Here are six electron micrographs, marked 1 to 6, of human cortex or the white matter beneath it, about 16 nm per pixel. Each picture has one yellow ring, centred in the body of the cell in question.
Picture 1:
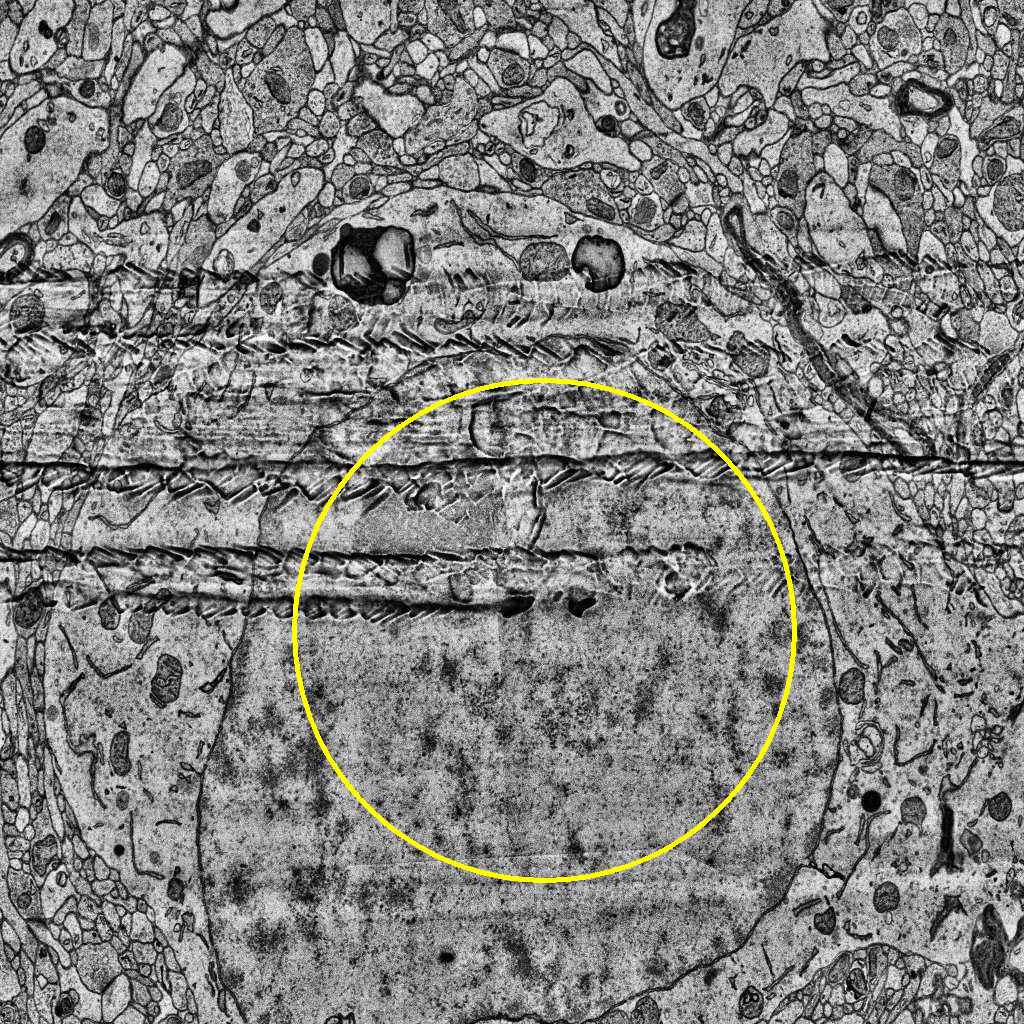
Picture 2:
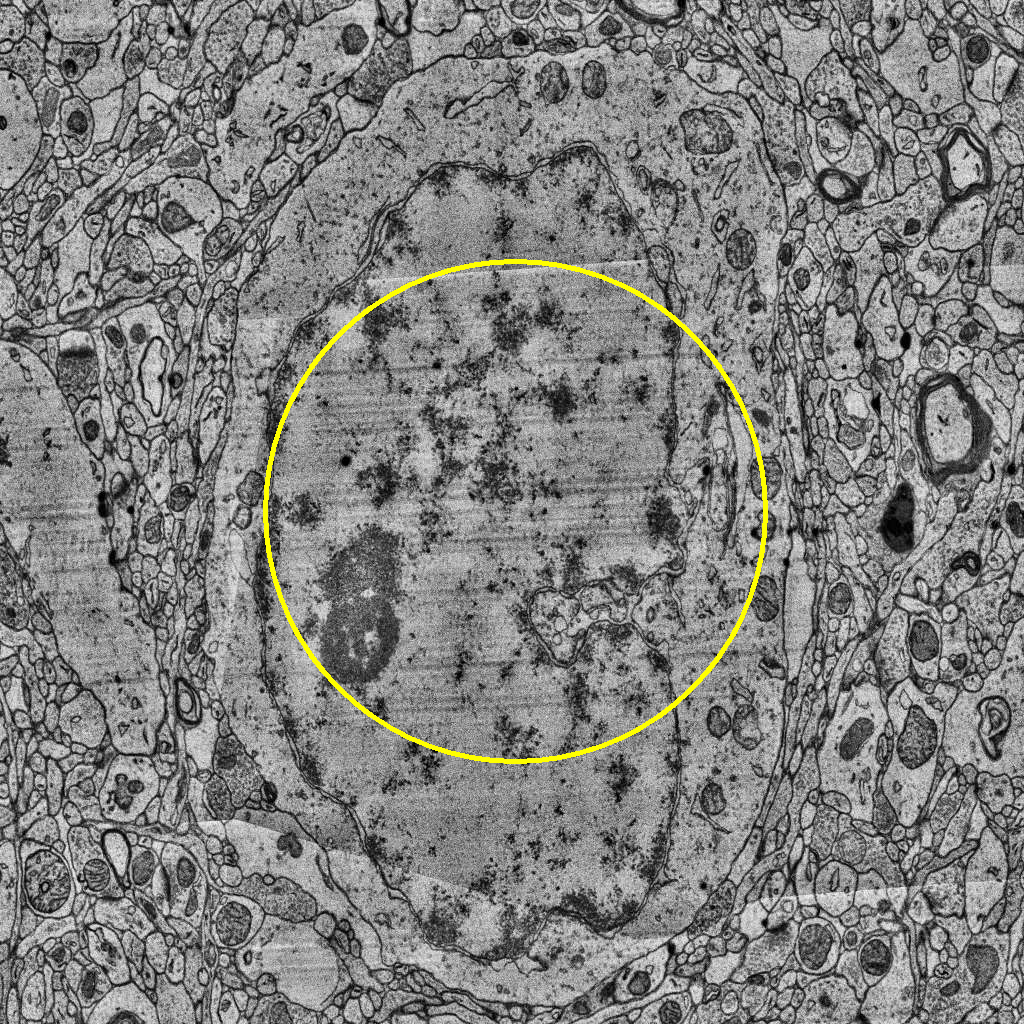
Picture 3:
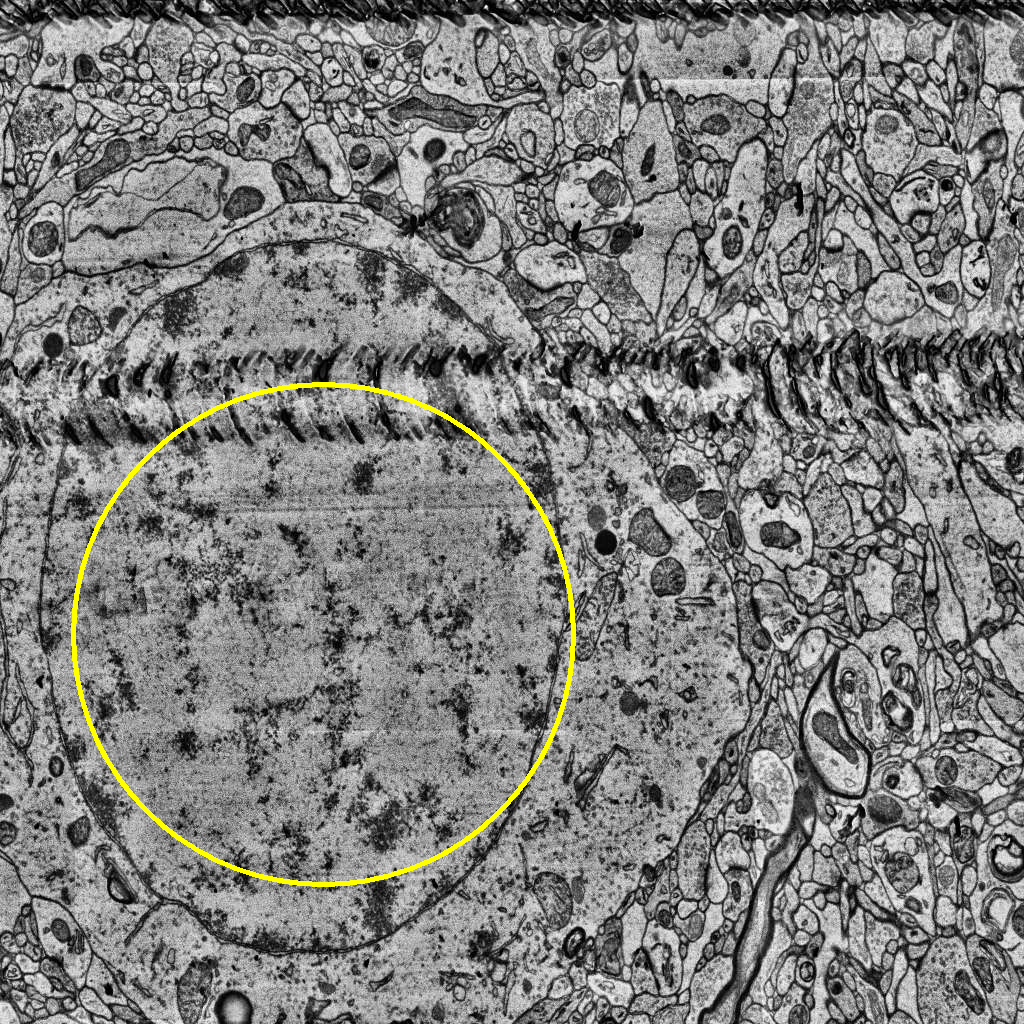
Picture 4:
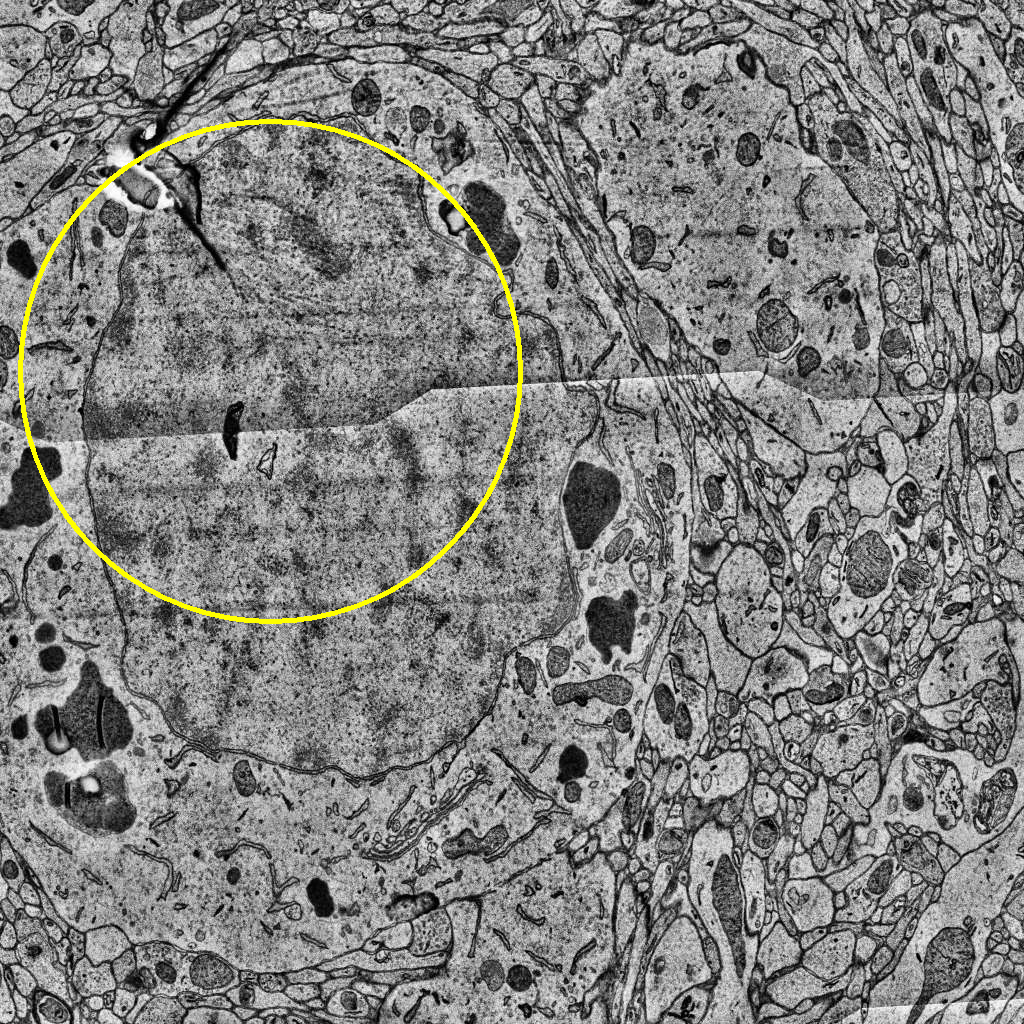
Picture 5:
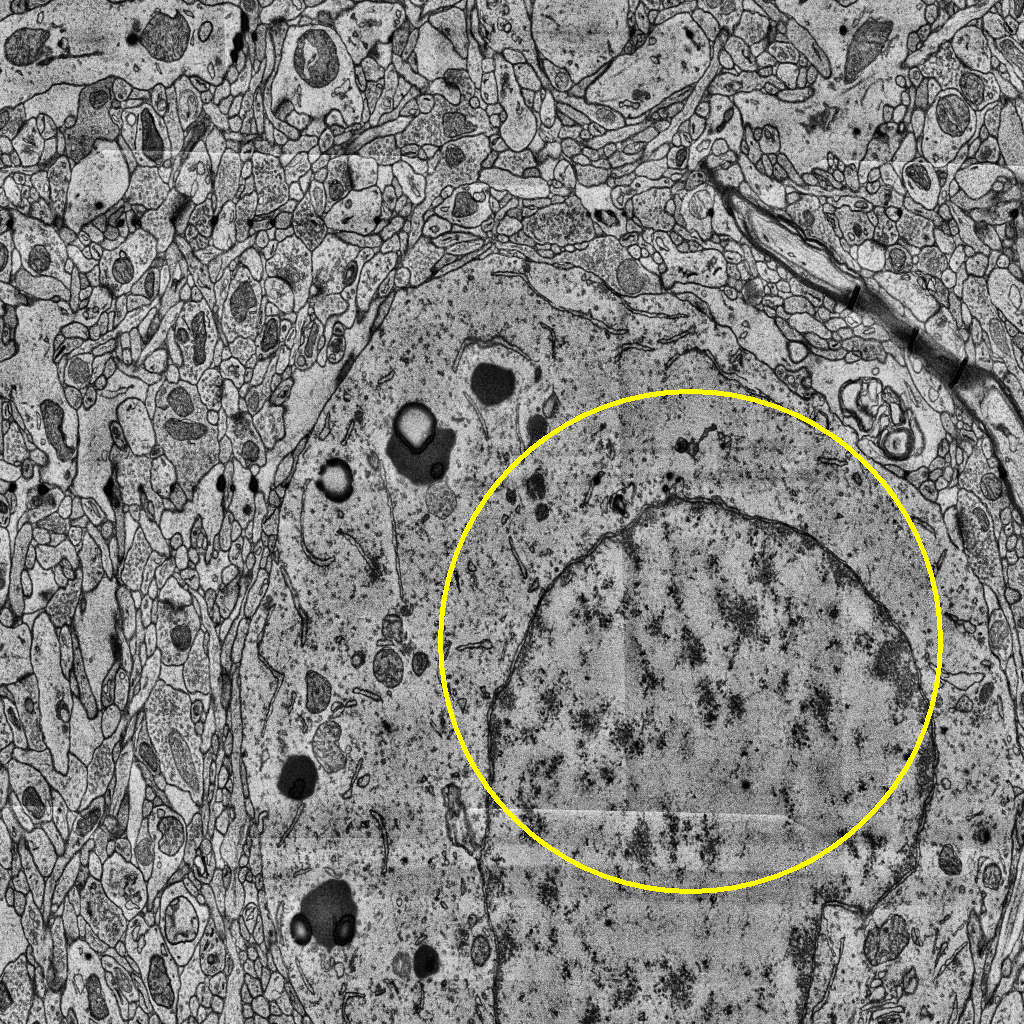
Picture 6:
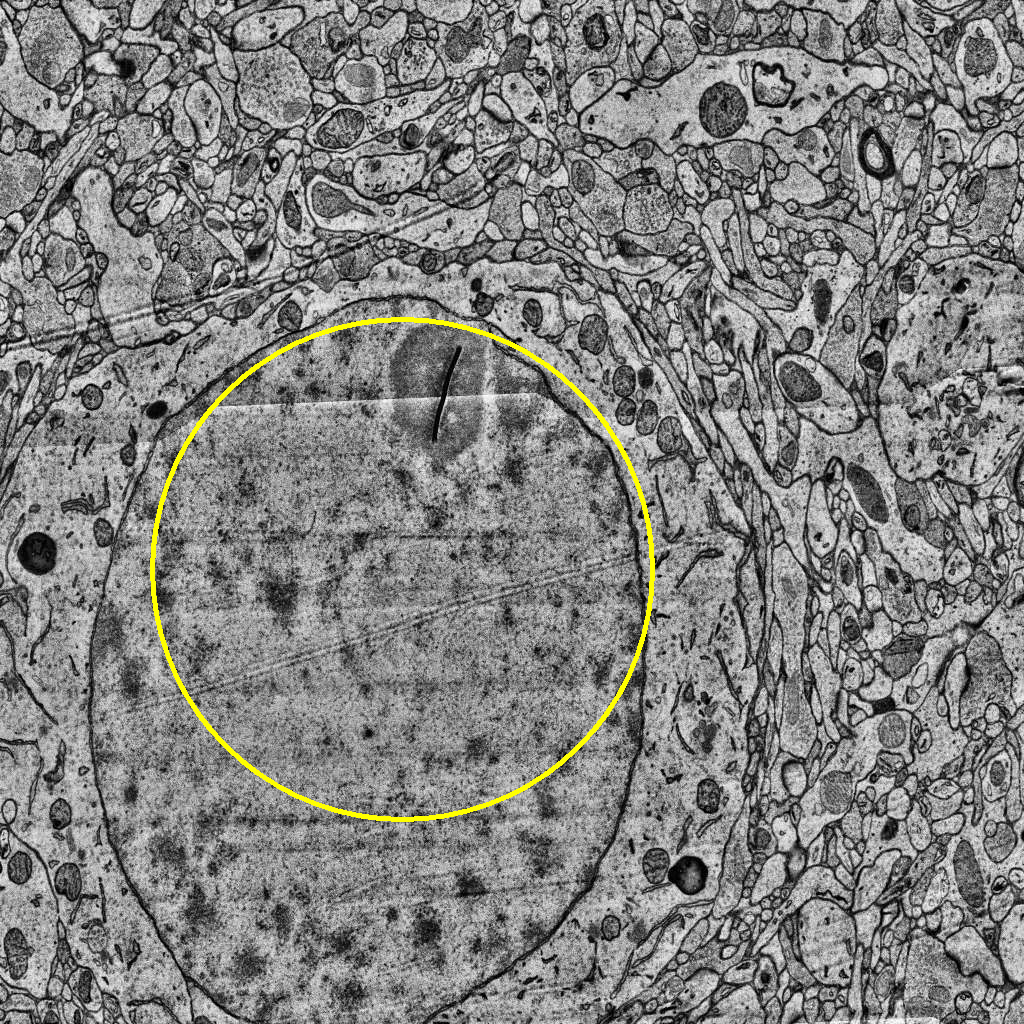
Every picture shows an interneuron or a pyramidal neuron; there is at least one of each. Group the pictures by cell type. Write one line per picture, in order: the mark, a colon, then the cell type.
1: pyramidal neuron
2: interneuron
3: pyramidal neuron
4: interneuron
5: pyramidal neuron
6: pyramidal neuron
